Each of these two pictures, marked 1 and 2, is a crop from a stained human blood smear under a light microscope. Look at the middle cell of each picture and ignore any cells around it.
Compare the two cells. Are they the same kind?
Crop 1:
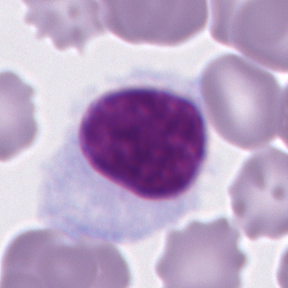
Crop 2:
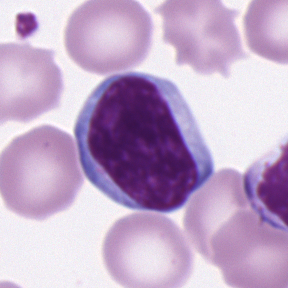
no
